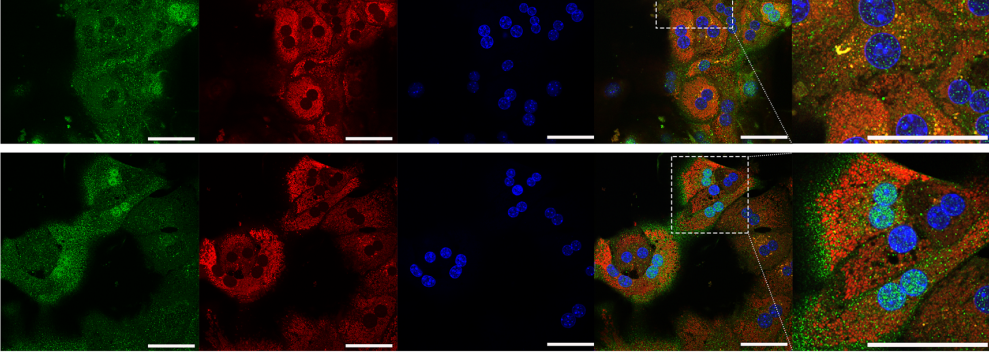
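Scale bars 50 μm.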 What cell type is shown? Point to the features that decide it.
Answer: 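Hepatocytes. Large polygonal cells in flat clusters. Round central nuclei, some cells with two nuclei. Abundant granular cytoplasm.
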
